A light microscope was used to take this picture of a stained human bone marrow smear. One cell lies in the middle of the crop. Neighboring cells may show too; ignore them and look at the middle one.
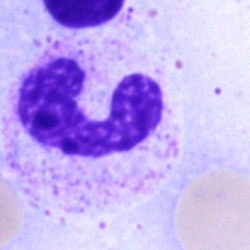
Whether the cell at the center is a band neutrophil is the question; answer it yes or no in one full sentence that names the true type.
Yes, the cell in the center of this crop is a band neutrophil.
